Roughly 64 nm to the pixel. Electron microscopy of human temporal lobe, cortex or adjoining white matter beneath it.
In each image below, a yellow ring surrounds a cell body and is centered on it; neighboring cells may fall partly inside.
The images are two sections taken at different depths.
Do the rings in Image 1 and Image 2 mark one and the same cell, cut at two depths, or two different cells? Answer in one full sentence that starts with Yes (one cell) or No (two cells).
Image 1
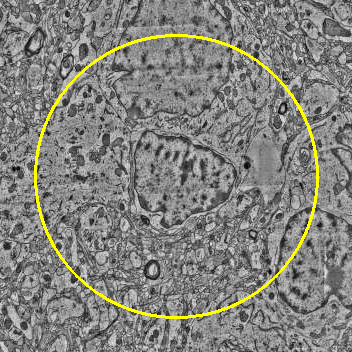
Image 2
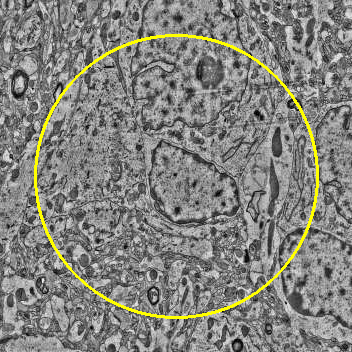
Yes, both rings identify a single, shared cell.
